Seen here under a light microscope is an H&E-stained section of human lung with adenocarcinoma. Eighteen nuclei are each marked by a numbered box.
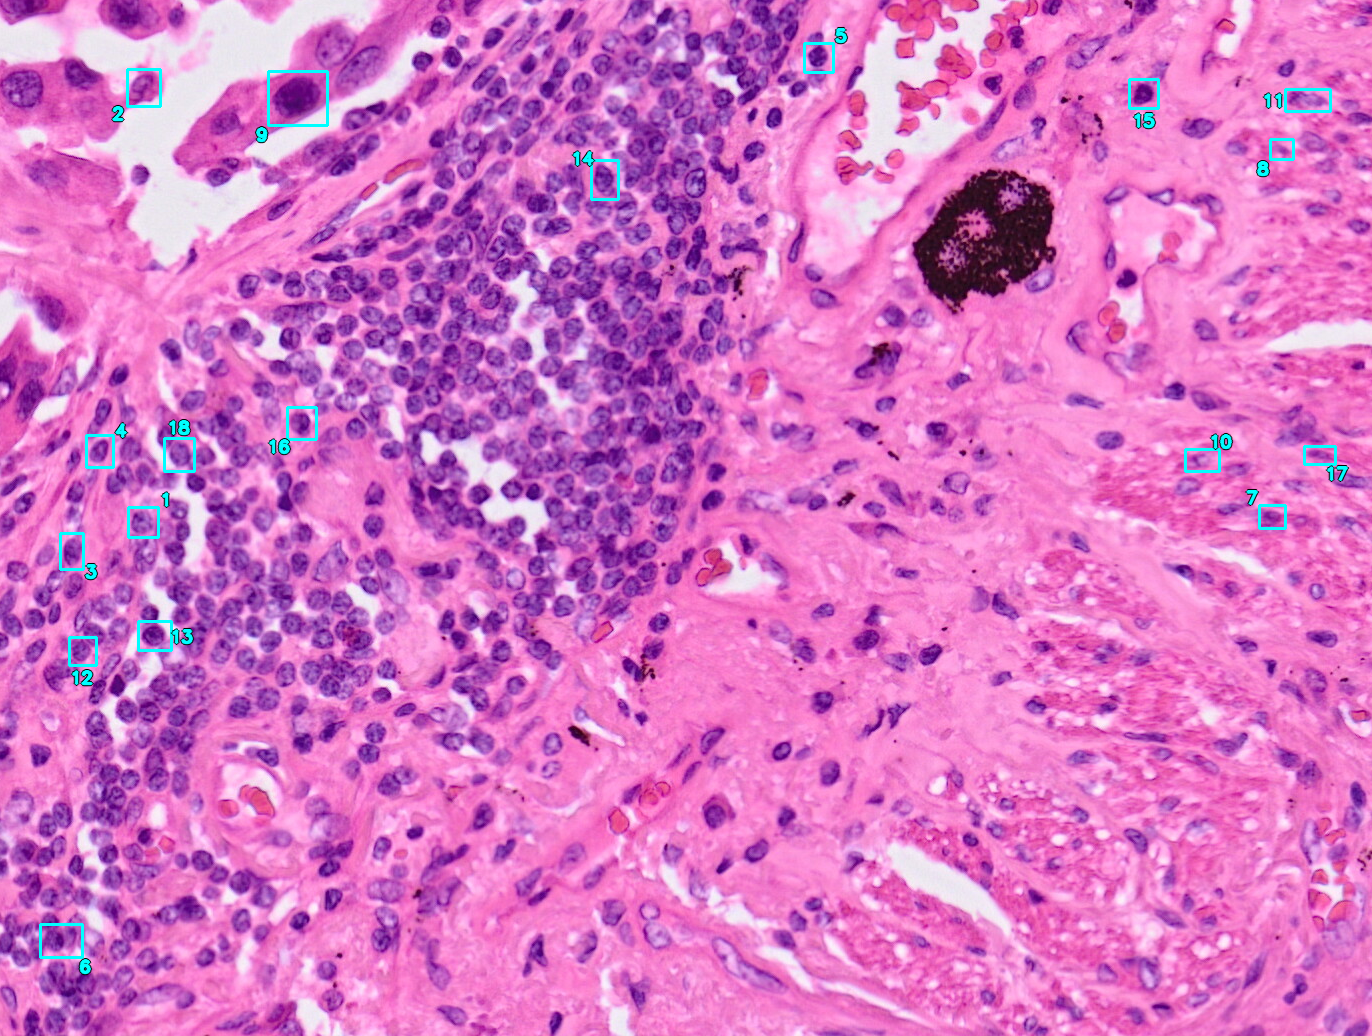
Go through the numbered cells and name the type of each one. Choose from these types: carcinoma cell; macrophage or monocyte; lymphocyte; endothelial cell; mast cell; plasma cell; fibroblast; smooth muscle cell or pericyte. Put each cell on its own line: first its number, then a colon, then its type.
1: lymphocyte
2: macrophage or monocyte
3: lymphocyte
4: lymphocyte
5: lymphocyte
6: lymphocyte
7: smooth muscle cell or pericyte
8: smooth muscle cell or pericyte
9: carcinoma cell
10: smooth muscle cell or pericyte
11: smooth muscle cell or pericyte
12: lymphocyte
13: lymphocyte
14: lymphocyte
15: plasma cell
16: lymphocyte
17: smooth muscle cell or pericyte
18: lymphocyte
